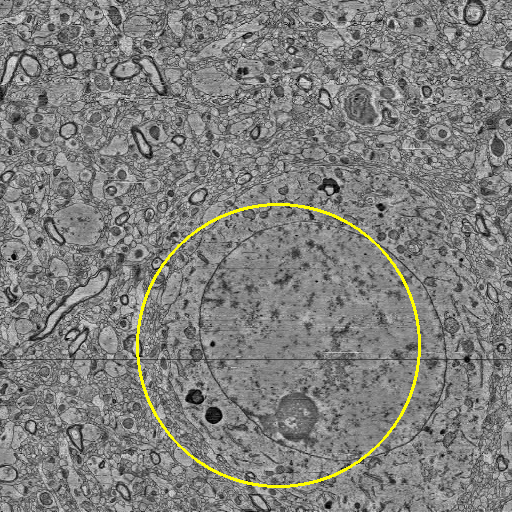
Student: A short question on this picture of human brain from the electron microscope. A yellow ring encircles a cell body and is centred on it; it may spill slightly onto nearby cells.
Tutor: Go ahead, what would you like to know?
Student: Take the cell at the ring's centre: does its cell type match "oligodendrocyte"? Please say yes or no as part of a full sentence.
No, the cell found at the ring's centre in the picture has another cell type.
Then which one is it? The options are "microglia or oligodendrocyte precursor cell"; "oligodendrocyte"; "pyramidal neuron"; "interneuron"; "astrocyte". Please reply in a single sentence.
The cell this ring marks is a pyramidal neuron.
